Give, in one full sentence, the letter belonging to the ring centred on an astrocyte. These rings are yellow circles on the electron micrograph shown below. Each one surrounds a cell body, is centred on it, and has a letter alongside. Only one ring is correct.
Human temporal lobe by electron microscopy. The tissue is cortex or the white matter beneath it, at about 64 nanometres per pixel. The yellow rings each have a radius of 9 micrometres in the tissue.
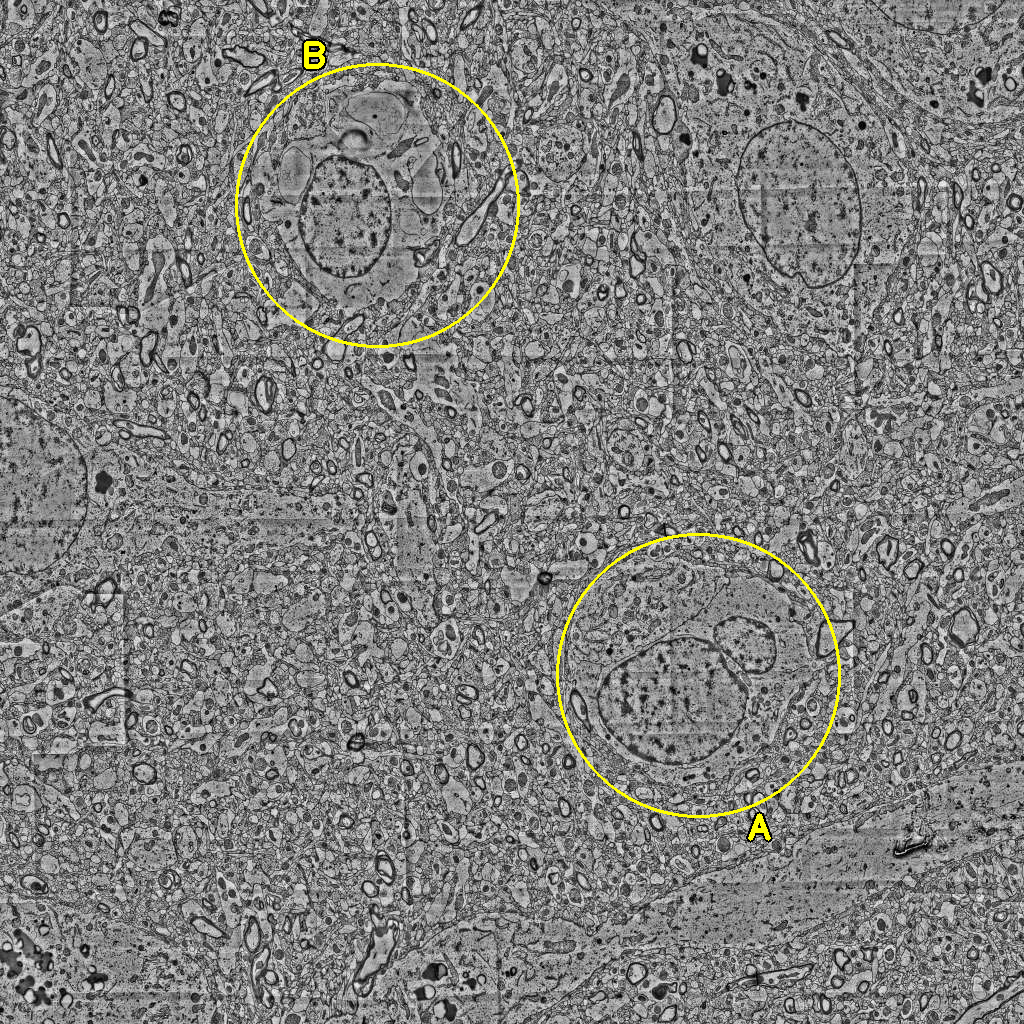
My answer is B, the ring centred on the cell asked for.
